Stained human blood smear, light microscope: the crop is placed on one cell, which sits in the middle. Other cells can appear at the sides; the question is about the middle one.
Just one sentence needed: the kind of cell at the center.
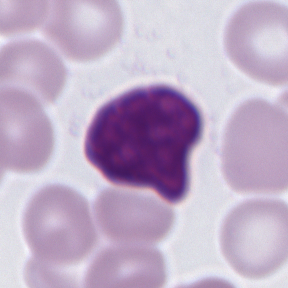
The cell under consideration, at the middle of the crop, is a smudge cell.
